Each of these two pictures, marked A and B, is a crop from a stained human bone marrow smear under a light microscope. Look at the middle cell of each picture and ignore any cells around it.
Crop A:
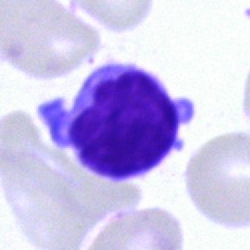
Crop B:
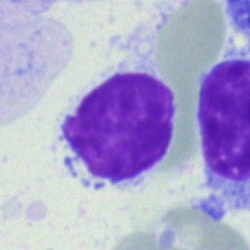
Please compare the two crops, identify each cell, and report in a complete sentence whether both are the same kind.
Yes, both crops show lymphocytes as the central cells.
